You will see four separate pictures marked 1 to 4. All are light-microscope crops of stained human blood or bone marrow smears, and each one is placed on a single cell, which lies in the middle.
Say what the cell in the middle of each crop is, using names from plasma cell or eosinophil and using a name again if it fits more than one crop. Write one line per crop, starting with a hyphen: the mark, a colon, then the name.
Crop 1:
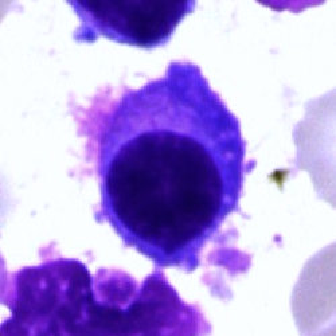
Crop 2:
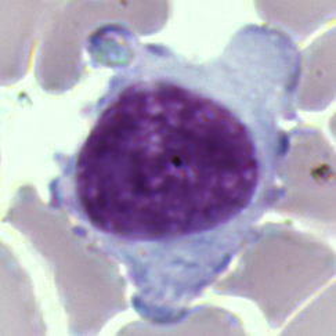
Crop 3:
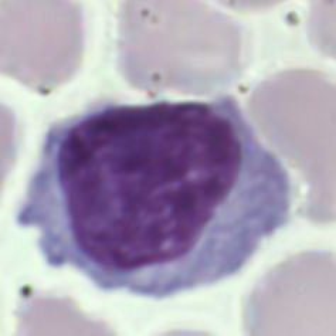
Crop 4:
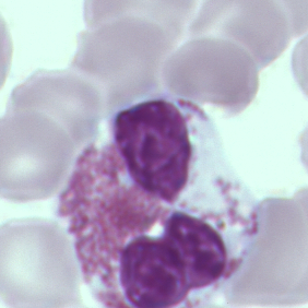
- 1: plasma cell
- 2: plasma cell
- 3: plasma cell
- 4: eosinophil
